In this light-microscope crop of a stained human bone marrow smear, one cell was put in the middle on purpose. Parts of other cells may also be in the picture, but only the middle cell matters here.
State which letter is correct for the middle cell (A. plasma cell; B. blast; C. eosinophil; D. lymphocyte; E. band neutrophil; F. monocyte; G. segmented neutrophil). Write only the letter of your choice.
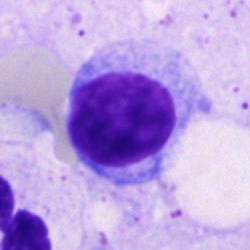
D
